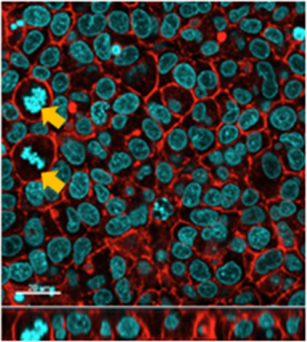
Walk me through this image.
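A dense monolayer of epithelial cells is seen from above, each cell holding a single oval blue nucleus with finely mottled chromatin and small darker nucleoli. Cells are packed closely, with nuclei nearly touching across narrow rims of cytoplasm. Two rounded cells near the left edge contain condensed, bright clumps of chromatin within a clear space ringed by red, typical of cells in division. A narrow strip along the bottom shows the layer in side view as a single row of nuclei.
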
